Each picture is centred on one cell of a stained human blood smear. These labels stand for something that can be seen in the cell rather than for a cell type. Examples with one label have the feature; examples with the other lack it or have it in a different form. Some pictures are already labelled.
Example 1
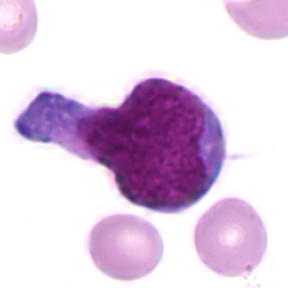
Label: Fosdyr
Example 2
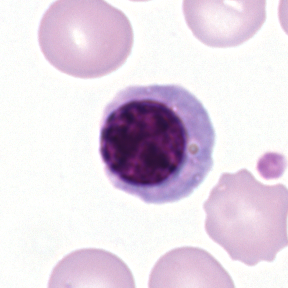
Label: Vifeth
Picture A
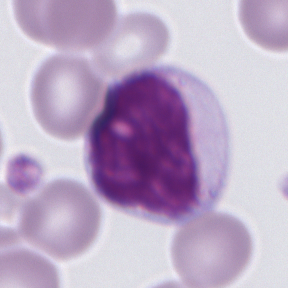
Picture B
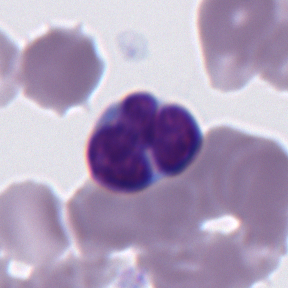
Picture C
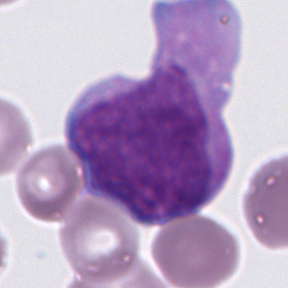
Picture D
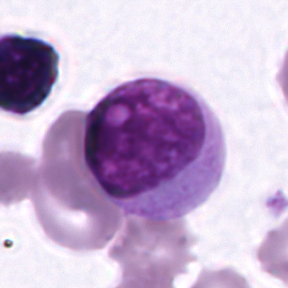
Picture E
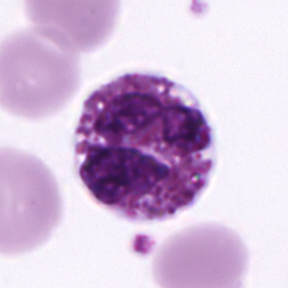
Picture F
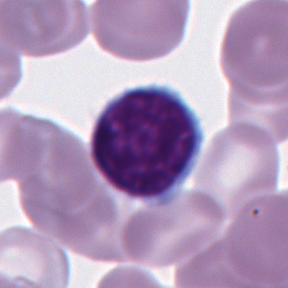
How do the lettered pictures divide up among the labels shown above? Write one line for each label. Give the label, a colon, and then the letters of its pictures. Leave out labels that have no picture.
Fosdyr: C
Vifeth: A, B, D, E, F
